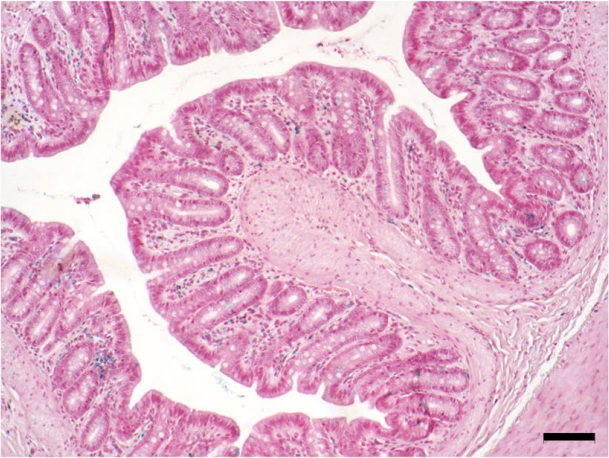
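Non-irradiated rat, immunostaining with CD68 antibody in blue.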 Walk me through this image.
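This is a section of intestinal wall with intact mucosa: long, regularly spaced crypts lined by a single layer of columnar epithelium, with many pale, rounded goblet cells set in between the pink-staining epithelial cells. The mucosa is folded around a core of pale submucosa, and a band of smooth muscle runs along the lower right edge. The architecture is orderly, with no ulceration or expansion of the connective tissue.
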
